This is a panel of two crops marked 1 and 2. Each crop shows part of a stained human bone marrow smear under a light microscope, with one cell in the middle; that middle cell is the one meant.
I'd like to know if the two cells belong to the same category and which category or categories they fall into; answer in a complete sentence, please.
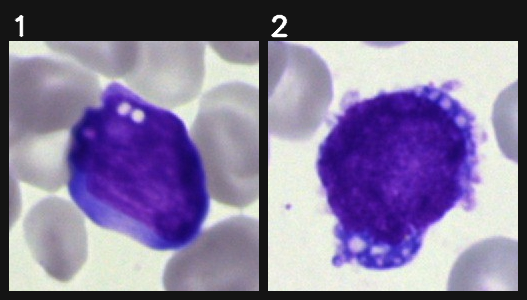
Yes, both crops depict blasts at the centre.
